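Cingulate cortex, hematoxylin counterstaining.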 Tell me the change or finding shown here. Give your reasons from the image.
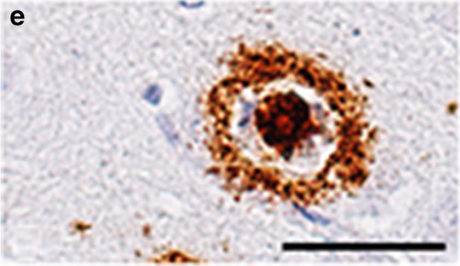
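A dense dark brown central core is surrounded by a pale clear halo. An outer ring of granular brown deposits encircles the halo.
Hence: ring-with-core appearance.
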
